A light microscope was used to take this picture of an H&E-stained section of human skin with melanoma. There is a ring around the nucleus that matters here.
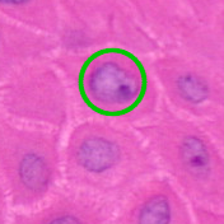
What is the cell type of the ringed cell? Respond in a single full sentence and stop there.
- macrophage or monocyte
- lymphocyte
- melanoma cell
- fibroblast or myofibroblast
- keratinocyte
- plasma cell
The identity of the ringed cell: it is a keratinocyte.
